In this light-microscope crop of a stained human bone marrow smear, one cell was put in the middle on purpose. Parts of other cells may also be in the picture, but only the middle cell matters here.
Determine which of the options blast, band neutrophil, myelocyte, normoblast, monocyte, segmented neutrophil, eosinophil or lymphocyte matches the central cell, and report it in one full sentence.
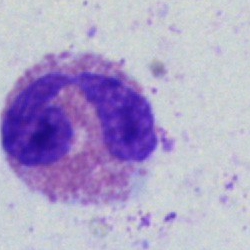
This crop's central cell is an eosinophil.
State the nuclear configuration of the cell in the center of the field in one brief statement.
Look at the nucleus and you will find it divided into two or more lobes.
